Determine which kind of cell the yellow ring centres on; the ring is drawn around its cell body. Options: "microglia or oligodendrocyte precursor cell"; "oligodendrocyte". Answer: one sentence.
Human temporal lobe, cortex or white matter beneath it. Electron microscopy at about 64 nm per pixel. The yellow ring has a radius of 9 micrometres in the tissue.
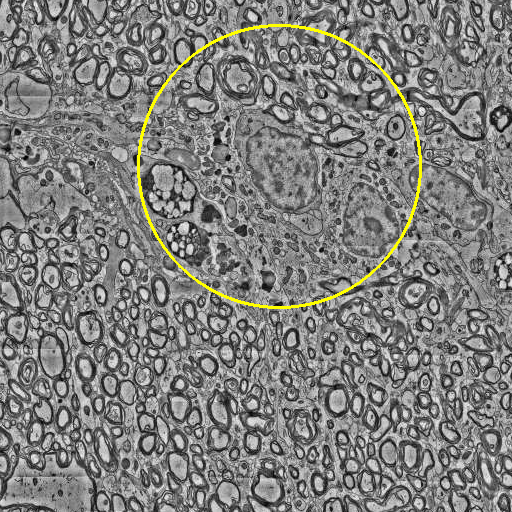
The ring centres on an oligodendrocyte.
